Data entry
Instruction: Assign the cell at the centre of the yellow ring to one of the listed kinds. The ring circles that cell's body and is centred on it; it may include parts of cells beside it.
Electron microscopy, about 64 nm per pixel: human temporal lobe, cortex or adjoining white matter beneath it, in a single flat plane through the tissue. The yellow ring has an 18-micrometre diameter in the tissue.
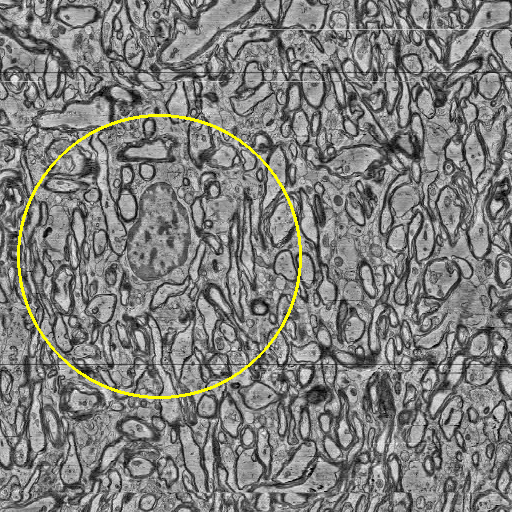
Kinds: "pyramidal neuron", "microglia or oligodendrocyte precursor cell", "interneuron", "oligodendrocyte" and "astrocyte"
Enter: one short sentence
The centre of the ring falls on a microglial cell or oligodendrocyte precursor cell.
